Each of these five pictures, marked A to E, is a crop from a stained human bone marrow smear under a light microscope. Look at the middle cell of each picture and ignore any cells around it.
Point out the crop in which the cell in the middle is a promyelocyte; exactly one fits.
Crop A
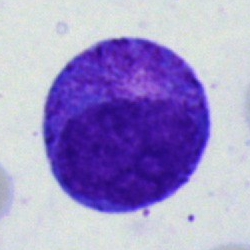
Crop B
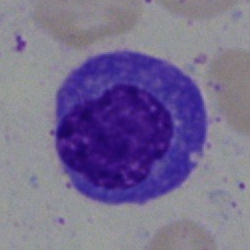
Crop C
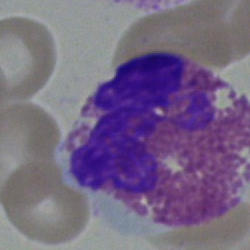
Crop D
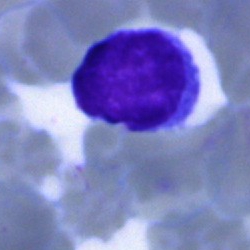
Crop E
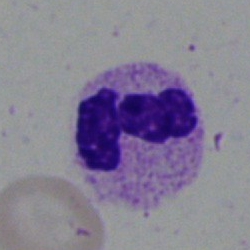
A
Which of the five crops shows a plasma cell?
B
